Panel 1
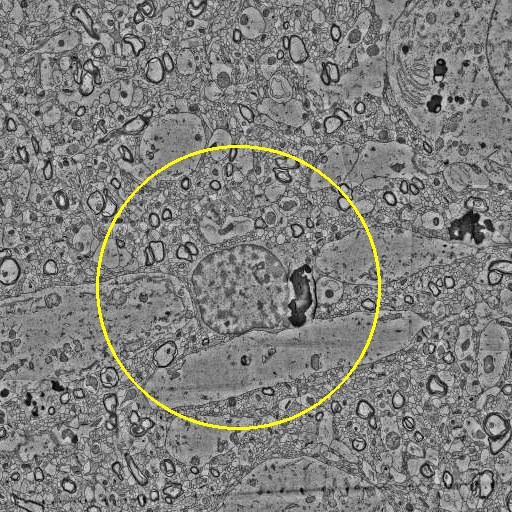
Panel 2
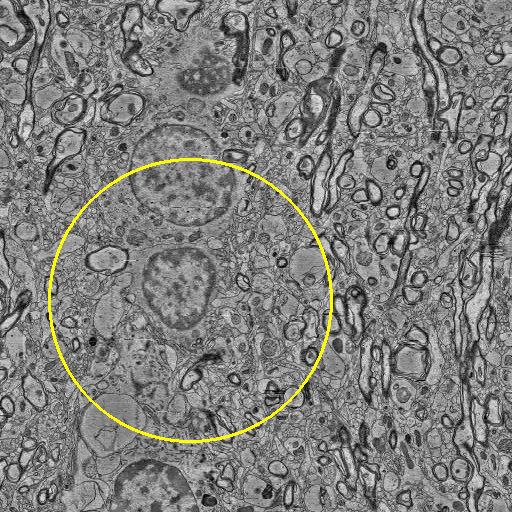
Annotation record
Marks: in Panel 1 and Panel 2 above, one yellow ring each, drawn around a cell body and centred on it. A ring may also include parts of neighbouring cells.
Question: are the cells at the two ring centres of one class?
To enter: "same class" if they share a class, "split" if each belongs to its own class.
same class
